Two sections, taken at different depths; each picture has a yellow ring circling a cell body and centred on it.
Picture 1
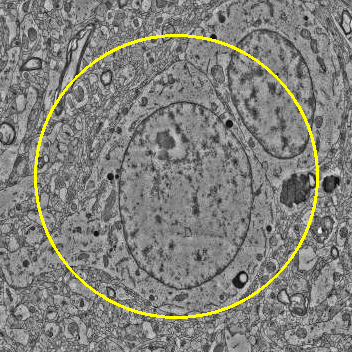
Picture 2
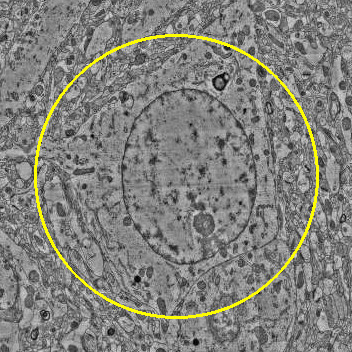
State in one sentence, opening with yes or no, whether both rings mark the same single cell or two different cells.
No, the cell in one ring is not the cell in the other.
